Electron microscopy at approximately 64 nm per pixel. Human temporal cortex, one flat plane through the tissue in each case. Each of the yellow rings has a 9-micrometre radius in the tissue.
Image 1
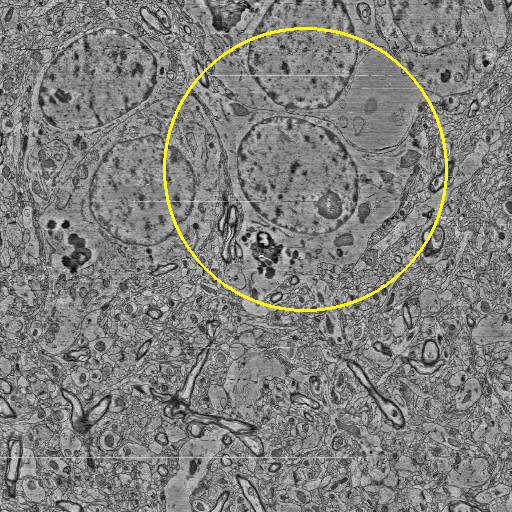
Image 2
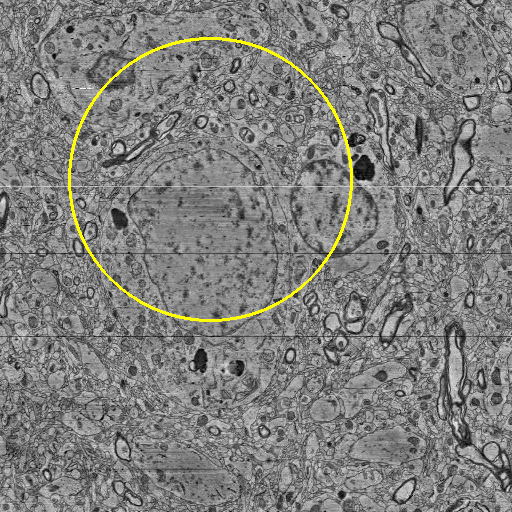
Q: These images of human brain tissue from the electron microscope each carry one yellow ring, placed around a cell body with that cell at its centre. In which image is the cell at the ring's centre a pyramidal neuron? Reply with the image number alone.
2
